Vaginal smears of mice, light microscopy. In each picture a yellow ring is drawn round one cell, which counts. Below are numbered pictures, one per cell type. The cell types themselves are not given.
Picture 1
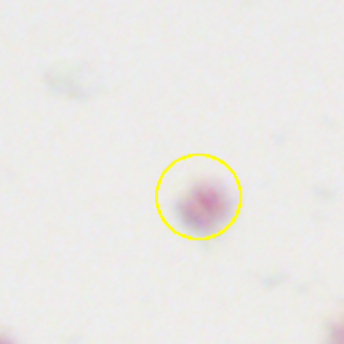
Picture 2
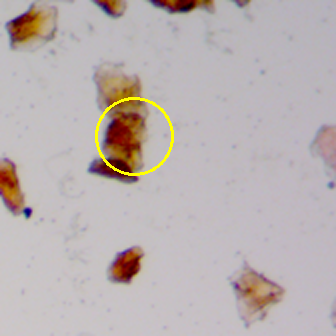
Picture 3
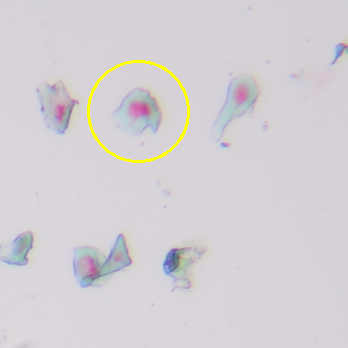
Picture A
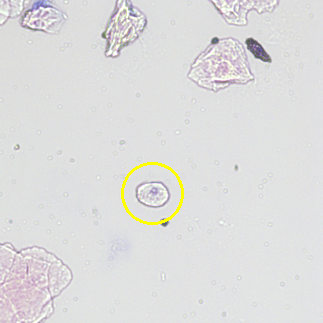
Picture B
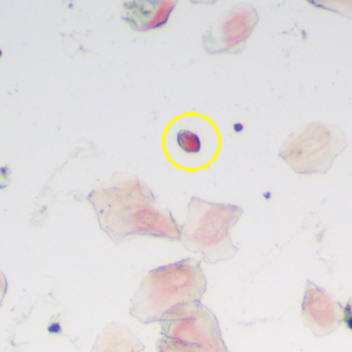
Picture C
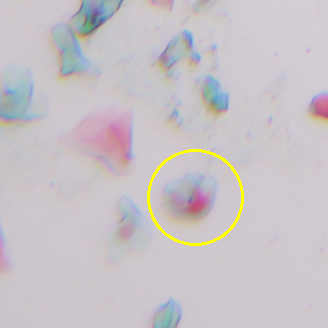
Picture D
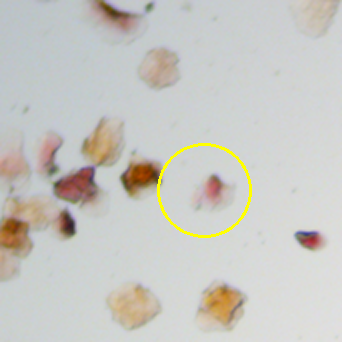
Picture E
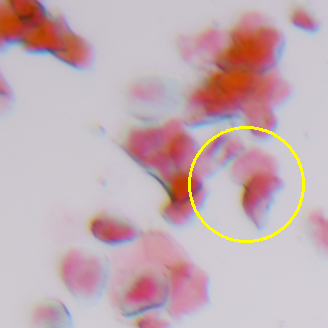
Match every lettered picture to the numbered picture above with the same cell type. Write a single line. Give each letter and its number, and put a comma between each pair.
A 3, B 3, C 3, D 3, E 2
